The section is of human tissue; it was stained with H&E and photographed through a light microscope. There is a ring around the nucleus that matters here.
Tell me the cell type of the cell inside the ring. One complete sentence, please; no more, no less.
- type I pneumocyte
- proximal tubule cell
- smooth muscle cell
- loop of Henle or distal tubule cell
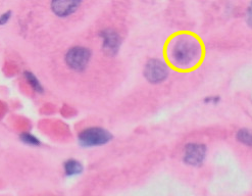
The classification of the cell inside the ring is as a proximal tubule cell.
